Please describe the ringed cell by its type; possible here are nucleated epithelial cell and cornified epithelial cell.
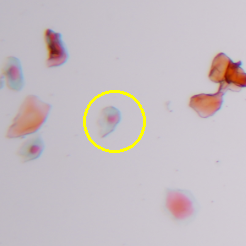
The yellow ring marks a nucleated epithelial cell.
